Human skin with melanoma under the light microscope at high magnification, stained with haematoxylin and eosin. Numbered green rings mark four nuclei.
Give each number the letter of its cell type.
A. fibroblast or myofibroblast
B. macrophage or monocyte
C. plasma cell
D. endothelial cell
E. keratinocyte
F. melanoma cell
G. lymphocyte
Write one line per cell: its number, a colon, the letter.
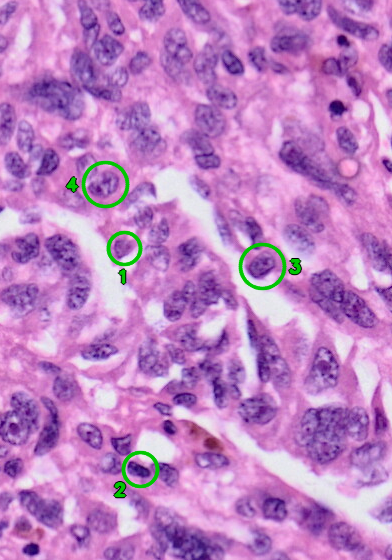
1: F
2: G
3: F
4: F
